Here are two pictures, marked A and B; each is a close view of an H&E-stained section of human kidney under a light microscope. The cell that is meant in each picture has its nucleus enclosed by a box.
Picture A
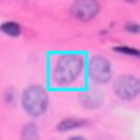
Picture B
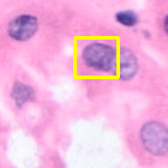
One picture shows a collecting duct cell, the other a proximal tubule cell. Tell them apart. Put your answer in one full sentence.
Picture A shows a collecting duct cell and picture B shows a proximal tubule cell.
